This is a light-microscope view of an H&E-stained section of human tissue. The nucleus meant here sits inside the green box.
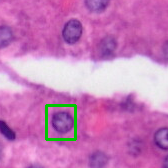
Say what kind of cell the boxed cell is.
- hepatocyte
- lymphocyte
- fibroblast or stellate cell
hepatocyte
